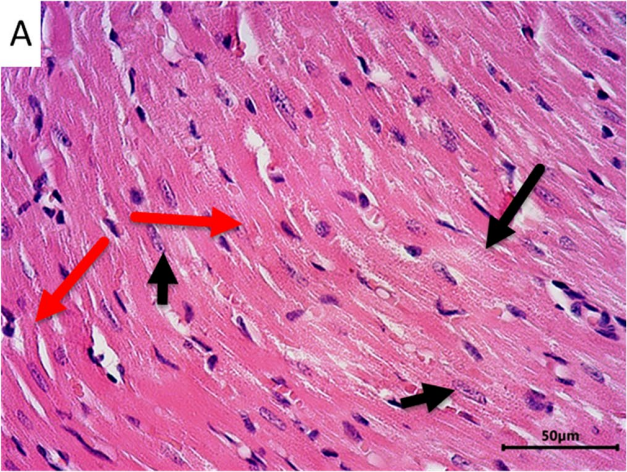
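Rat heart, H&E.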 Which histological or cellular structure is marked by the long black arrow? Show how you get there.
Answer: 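Fine transverse bands cross the pink fibers where the arrow points.
Answer: cross-striations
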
